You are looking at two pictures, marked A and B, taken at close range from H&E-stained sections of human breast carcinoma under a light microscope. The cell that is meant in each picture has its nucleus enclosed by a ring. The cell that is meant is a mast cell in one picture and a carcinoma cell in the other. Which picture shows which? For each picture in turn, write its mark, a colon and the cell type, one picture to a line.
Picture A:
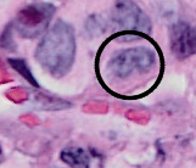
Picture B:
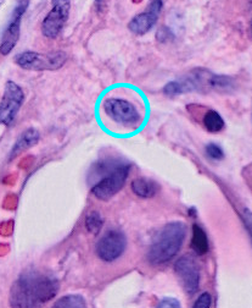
A: carcinoma cell
B: mast cell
